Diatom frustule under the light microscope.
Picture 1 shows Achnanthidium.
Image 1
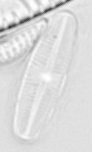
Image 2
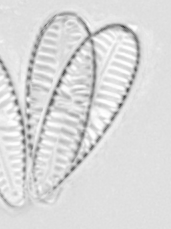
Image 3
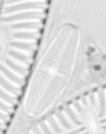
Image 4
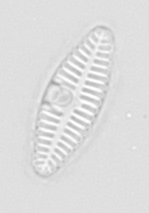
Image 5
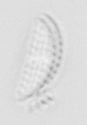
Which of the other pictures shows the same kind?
Picture 3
